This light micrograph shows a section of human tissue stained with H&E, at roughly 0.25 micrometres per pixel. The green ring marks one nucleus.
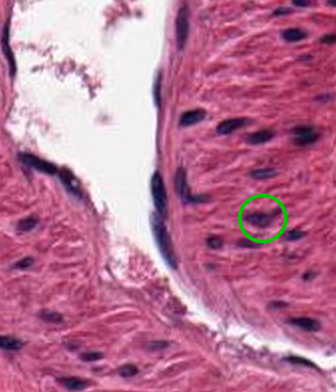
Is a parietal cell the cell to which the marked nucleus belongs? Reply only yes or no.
no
